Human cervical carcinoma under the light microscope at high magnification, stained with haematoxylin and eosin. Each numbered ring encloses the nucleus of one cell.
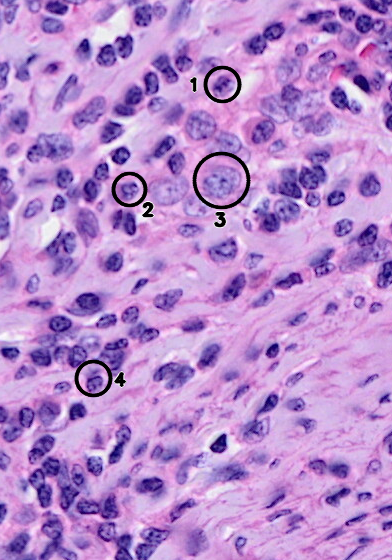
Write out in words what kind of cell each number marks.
Cells 1, 2 and 4 are lymphocytes. Cell 3 is an endothelial cell.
